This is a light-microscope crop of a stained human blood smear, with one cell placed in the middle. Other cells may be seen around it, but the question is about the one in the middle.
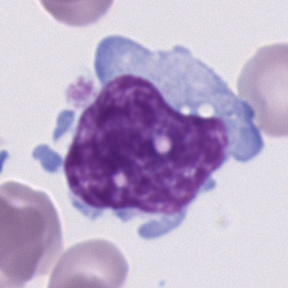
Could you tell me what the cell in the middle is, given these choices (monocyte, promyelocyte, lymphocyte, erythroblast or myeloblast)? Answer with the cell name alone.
myeloblast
